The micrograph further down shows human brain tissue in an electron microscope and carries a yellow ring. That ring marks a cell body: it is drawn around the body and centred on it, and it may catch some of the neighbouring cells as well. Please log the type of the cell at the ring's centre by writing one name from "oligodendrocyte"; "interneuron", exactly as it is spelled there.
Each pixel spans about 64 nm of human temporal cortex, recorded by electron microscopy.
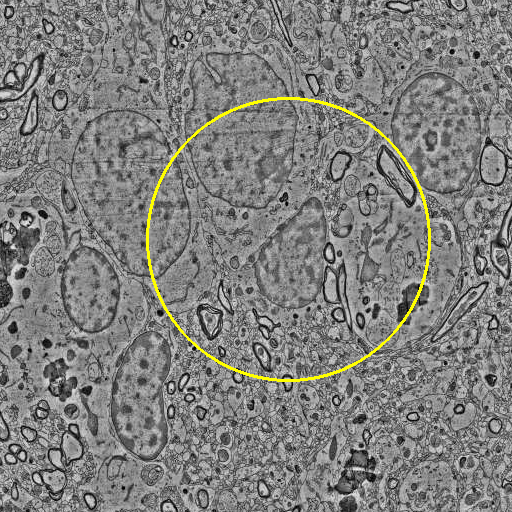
oligodendrocyte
